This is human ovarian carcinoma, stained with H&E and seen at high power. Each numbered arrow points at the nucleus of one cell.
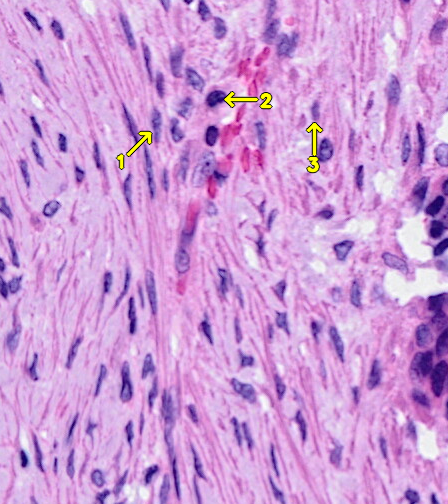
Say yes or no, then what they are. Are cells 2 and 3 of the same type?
No, cell 3 is a fibroblast, whereas cell 2 is a lymphocyte.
